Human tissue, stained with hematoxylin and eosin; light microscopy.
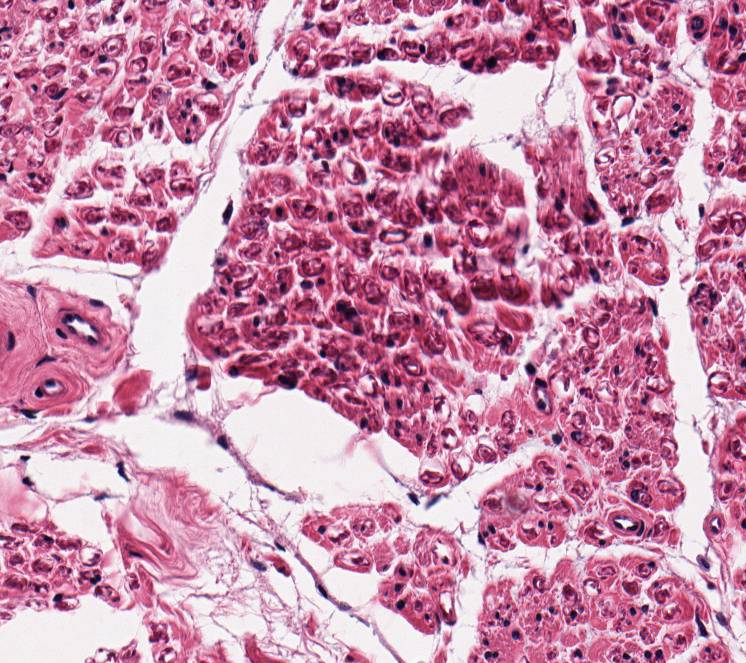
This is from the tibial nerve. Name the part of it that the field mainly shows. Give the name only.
nerve fascicle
